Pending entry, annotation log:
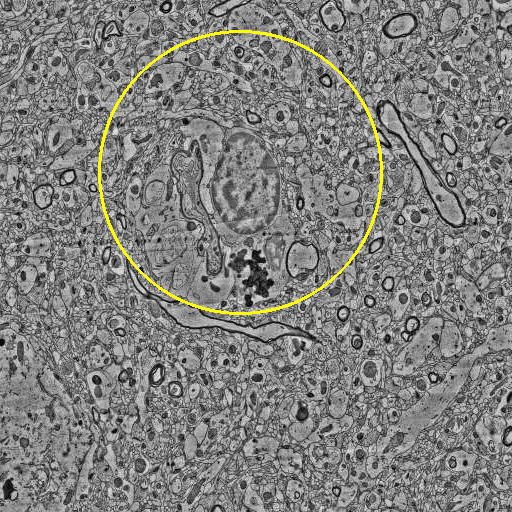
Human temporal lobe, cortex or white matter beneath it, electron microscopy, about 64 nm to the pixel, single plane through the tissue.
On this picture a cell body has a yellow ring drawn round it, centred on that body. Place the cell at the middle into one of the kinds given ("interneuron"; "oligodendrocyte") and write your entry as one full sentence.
The cell body at the middle of the yellow ring belongs to an oligodendrocyte.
